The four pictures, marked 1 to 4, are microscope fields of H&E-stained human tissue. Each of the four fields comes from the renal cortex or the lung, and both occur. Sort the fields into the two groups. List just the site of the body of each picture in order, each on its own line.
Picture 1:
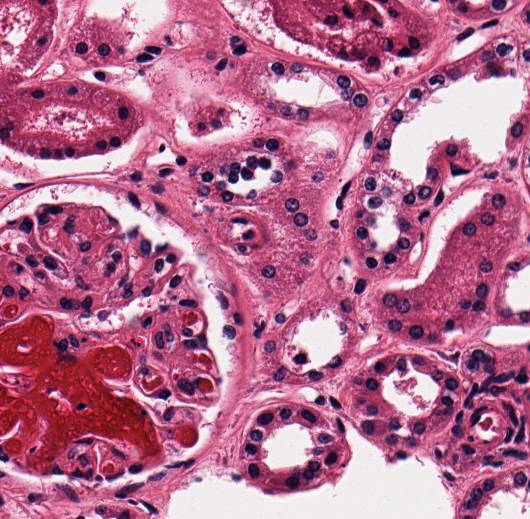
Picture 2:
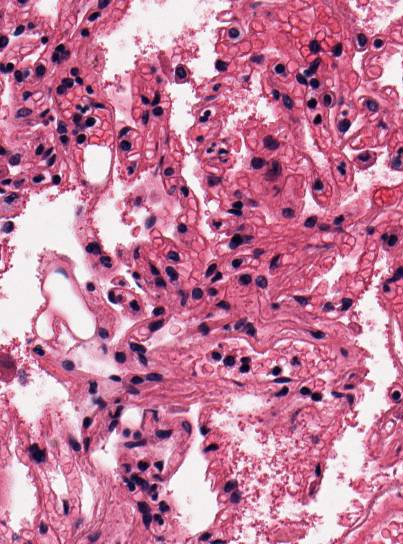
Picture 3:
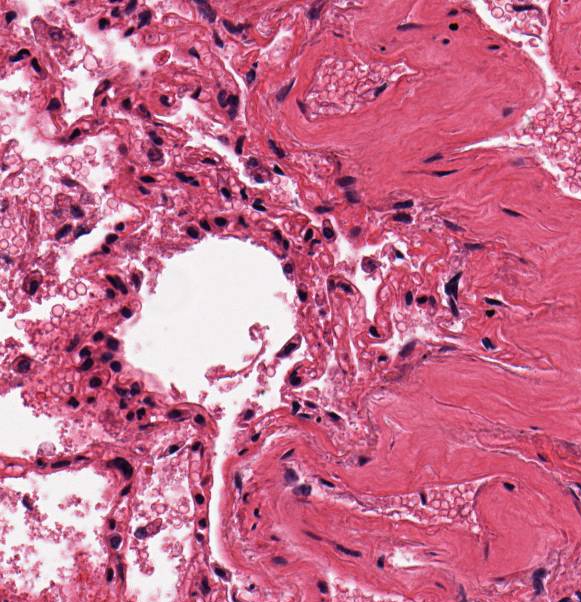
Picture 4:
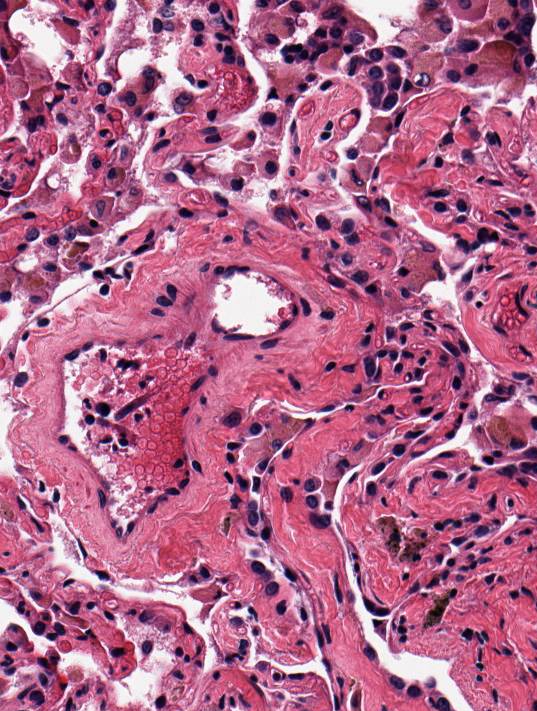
renal cortex
lung
lung
lung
